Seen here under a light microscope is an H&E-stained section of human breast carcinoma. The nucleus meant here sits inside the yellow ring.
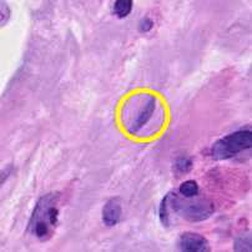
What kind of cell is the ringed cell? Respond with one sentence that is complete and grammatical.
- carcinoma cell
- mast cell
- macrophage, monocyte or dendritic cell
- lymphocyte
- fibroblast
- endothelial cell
As a matter of cell type, the ringed cell is a fibroblast.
